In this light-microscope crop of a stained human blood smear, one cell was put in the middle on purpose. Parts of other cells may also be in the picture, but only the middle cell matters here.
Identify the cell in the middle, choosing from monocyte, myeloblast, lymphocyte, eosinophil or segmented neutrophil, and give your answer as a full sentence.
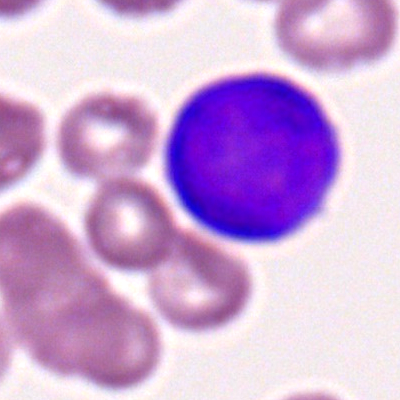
The center cell of this crop is a myeloblast.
